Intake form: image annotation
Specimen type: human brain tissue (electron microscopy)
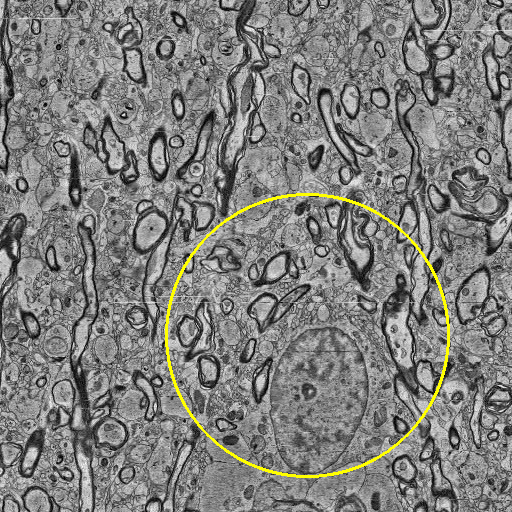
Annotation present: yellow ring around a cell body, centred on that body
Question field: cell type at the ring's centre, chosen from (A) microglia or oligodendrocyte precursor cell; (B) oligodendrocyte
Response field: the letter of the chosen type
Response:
B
